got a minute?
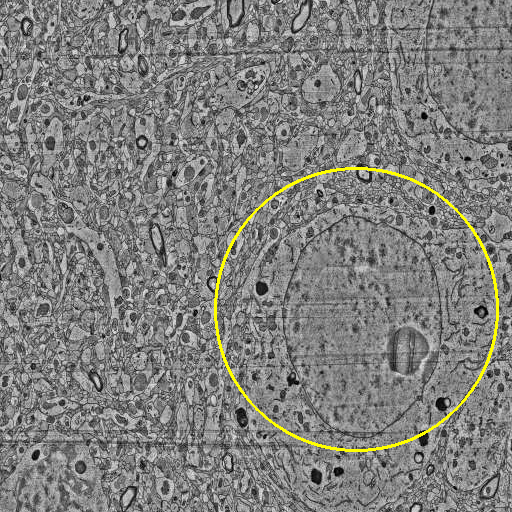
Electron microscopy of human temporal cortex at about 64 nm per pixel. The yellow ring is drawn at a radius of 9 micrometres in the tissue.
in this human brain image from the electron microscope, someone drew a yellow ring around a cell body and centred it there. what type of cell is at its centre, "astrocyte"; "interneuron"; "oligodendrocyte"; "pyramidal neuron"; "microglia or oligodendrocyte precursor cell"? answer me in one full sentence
It's a pyramidal neuron at the middle of that yellow ring in the shot.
